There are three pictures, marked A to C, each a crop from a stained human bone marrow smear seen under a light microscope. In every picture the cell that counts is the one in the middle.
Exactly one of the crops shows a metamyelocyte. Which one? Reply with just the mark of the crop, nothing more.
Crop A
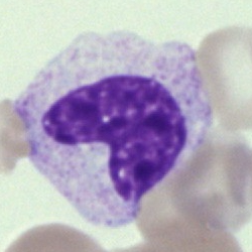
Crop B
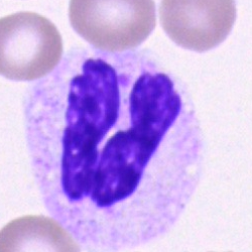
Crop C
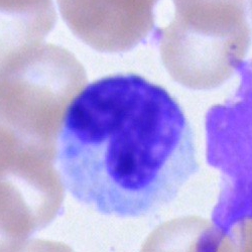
A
